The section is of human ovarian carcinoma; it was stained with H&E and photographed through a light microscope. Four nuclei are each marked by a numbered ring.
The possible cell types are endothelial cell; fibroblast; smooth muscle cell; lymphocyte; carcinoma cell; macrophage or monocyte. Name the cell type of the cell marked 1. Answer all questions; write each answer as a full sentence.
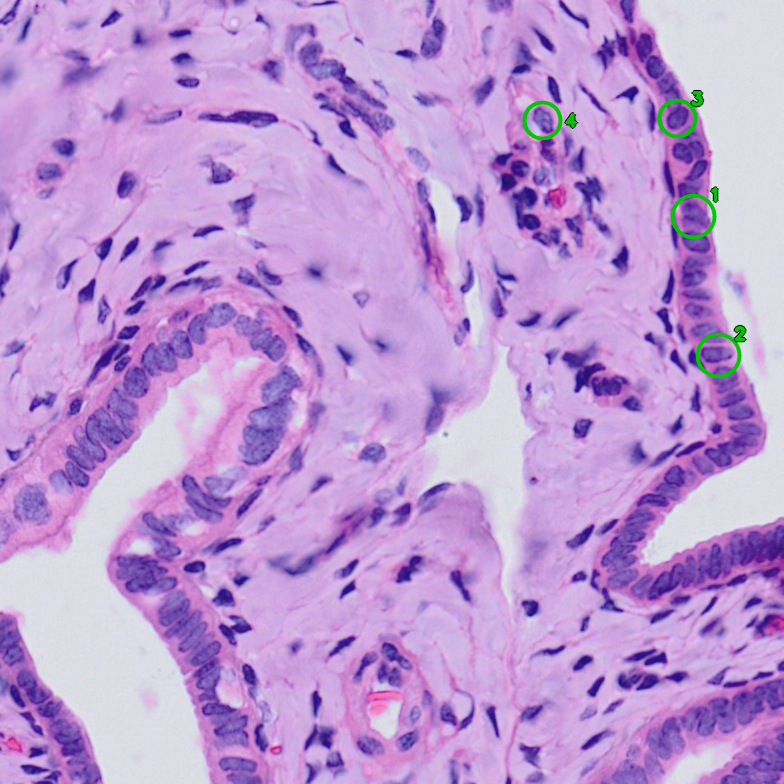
Cell 1 in the field of view is a carcinoma cell.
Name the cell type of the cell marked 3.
Cell 3, among those numbered, is a carcinoma cell.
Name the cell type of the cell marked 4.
In this section, number 4 marks an endothelial cell.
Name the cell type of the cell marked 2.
The cell tagged with 2 in this tissue section is a carcinoma cell.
